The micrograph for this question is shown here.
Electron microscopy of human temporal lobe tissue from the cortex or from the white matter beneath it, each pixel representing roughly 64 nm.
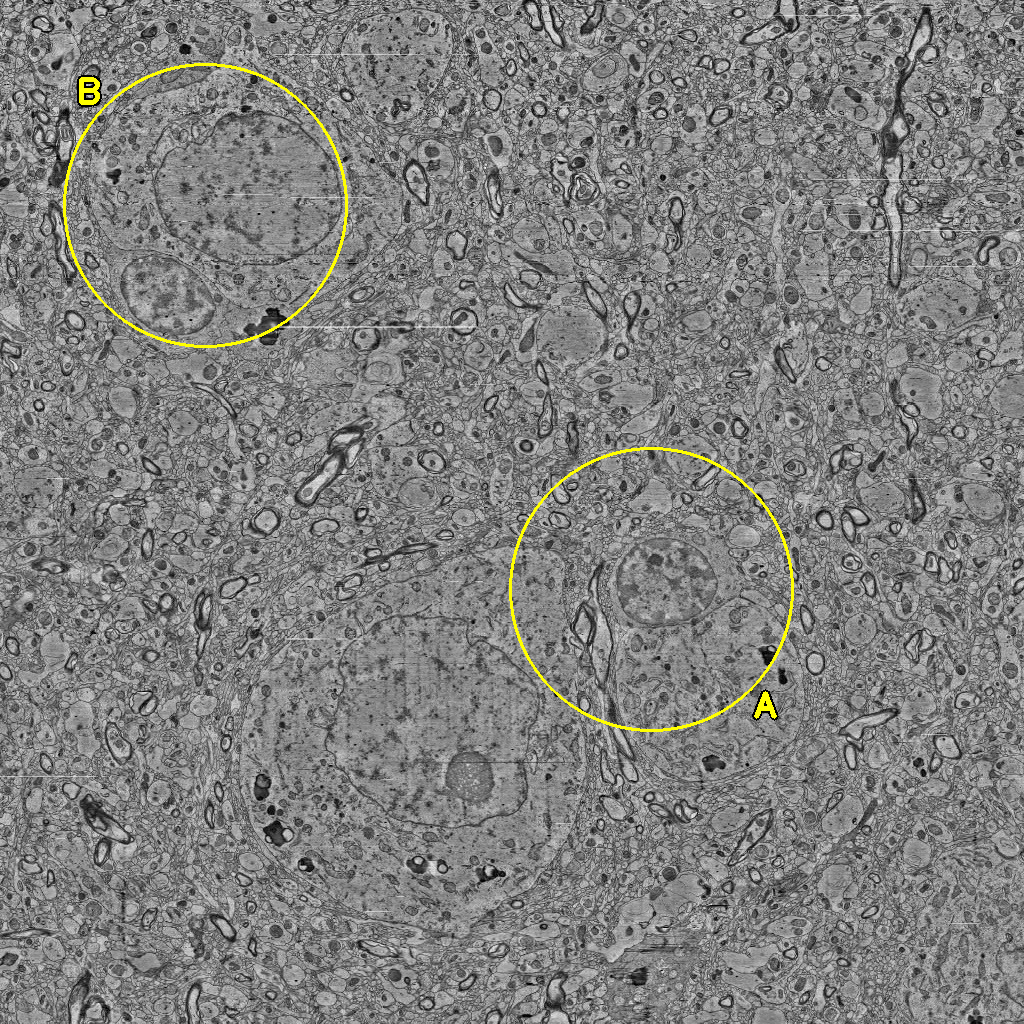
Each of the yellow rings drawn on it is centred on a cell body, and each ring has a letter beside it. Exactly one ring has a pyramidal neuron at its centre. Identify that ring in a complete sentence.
The ring centred on it is ring B.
